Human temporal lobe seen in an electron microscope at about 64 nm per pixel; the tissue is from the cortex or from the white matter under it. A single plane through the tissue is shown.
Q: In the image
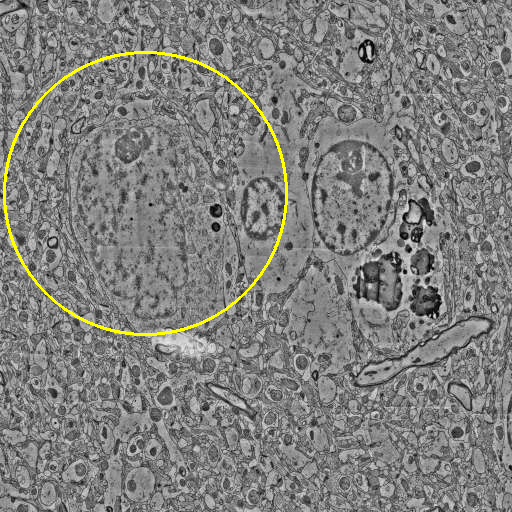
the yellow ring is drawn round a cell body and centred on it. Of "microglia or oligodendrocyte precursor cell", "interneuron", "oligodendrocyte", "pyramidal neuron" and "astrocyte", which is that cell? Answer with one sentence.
The cell centred in the ring is an interneuron.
